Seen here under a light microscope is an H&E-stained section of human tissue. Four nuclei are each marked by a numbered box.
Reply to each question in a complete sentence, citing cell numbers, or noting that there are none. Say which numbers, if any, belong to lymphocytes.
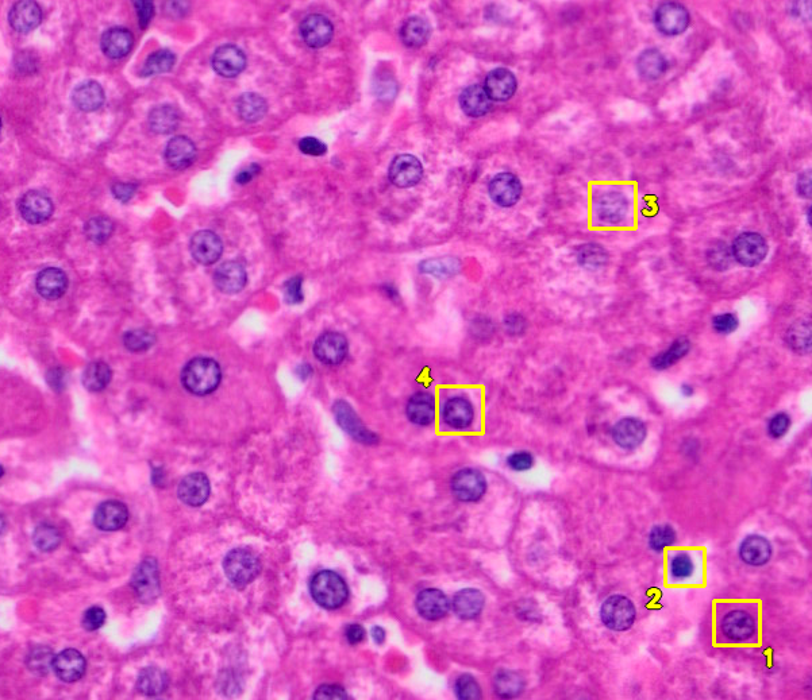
Only one marked cell, number 2, is a lymphocyte.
